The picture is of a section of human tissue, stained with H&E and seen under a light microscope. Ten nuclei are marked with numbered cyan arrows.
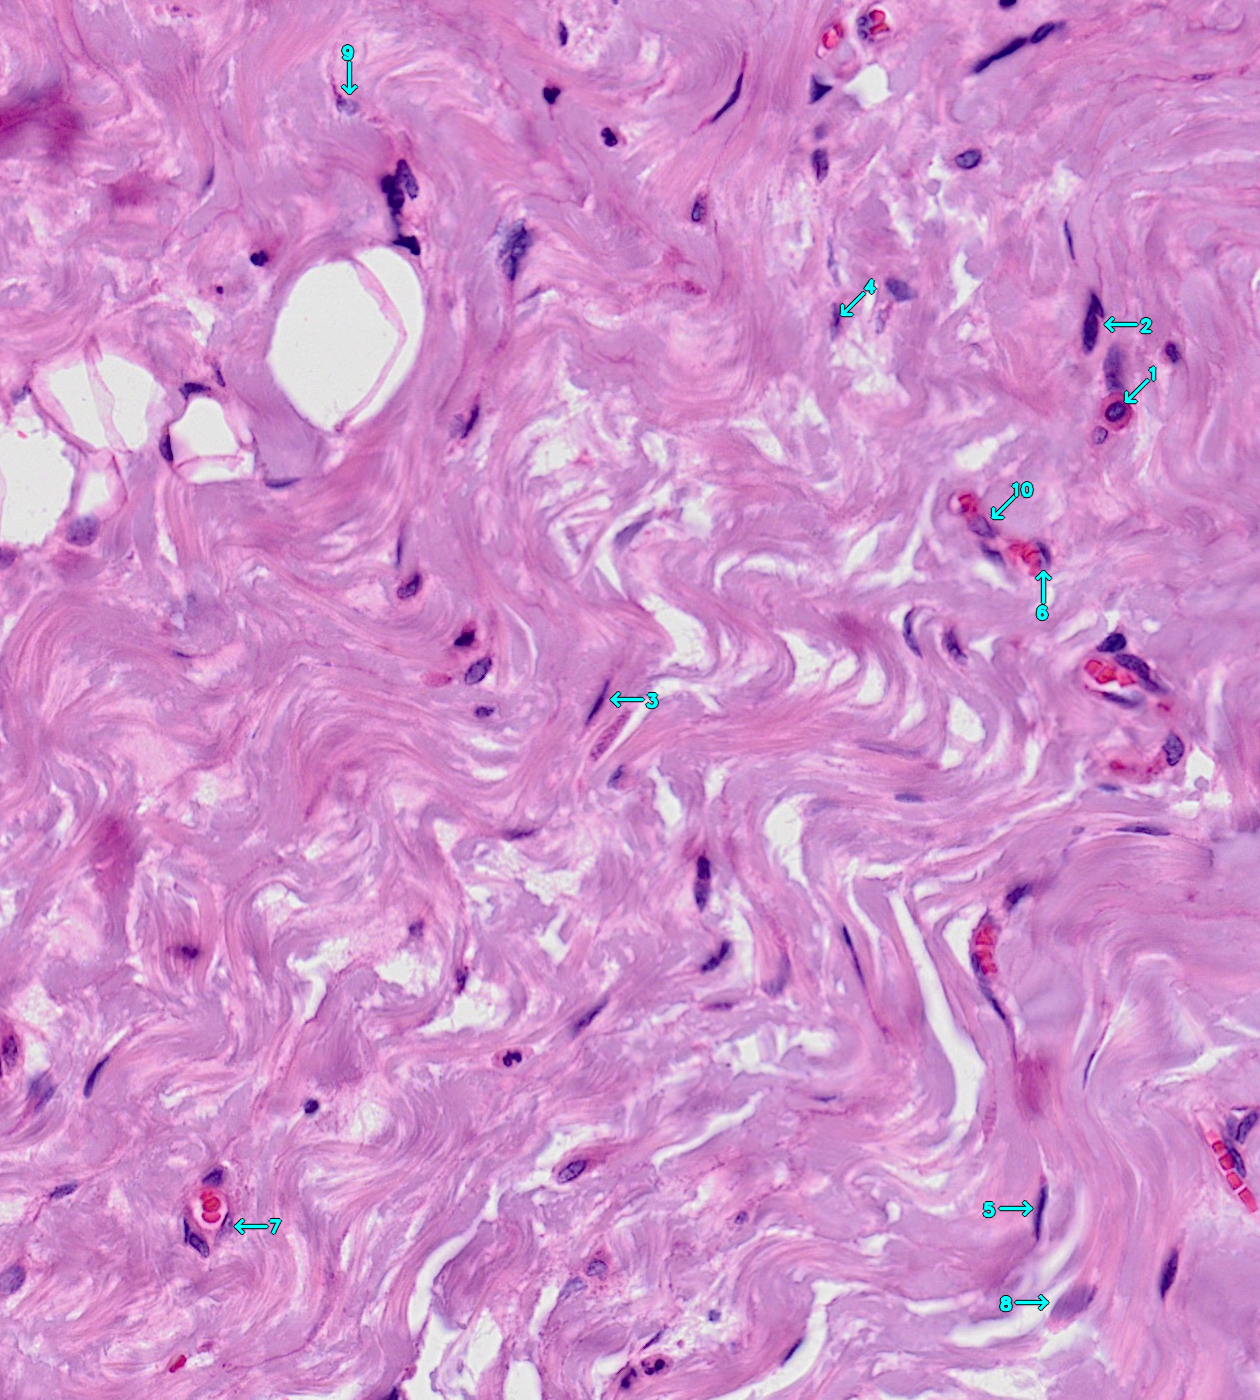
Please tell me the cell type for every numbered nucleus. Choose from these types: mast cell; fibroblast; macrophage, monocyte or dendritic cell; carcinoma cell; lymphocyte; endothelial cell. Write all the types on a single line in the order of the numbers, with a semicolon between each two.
mast cell; fibroblast; fibroblast; fibroblast; fibroblast; endothelial cell; endothelial cell; fibroblast; fibroblast; endothelial cell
